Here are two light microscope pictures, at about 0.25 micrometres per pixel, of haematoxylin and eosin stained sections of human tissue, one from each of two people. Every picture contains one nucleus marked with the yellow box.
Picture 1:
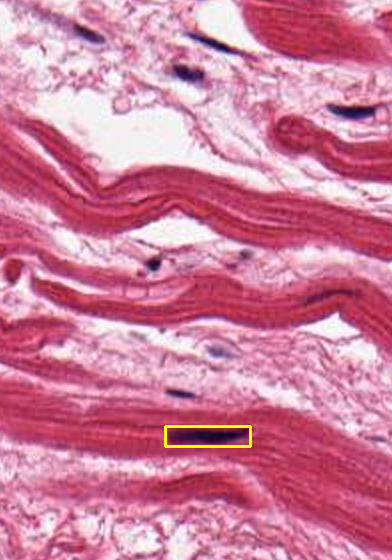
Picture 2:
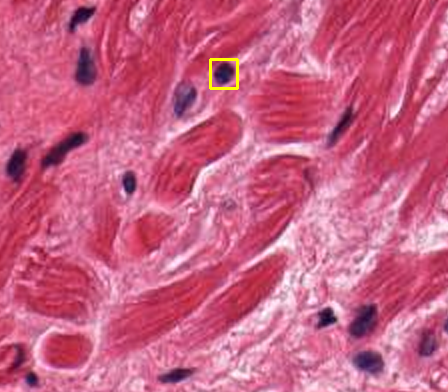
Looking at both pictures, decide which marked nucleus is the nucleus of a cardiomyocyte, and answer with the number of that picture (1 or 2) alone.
1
